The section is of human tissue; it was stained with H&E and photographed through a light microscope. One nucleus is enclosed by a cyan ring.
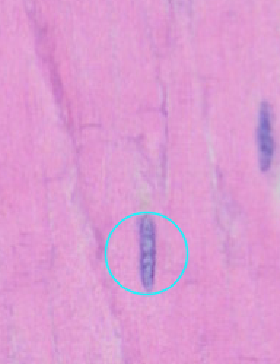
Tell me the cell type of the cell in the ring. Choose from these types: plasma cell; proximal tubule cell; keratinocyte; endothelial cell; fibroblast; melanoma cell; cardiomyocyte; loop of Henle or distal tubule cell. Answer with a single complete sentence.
The cell in the ring is a cardiomyocyte.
